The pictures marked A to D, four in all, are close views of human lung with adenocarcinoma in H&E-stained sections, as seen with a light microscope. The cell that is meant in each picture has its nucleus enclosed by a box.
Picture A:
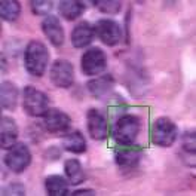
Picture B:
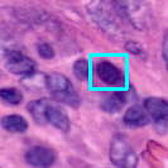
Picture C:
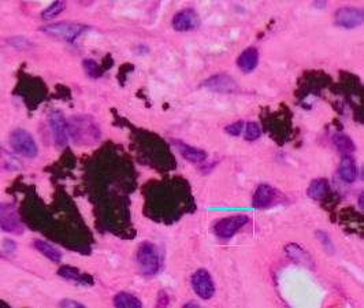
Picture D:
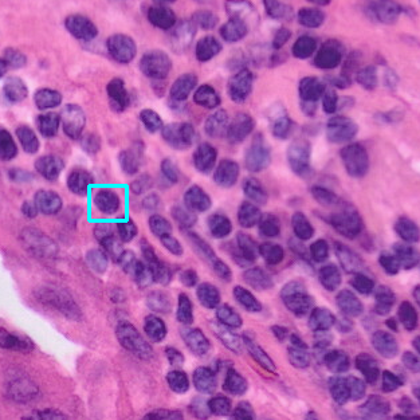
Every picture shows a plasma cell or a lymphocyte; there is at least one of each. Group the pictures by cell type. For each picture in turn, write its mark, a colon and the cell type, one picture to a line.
A: lymphocyte
B: plasma cell
C: plasma cell
D: lymphocyte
